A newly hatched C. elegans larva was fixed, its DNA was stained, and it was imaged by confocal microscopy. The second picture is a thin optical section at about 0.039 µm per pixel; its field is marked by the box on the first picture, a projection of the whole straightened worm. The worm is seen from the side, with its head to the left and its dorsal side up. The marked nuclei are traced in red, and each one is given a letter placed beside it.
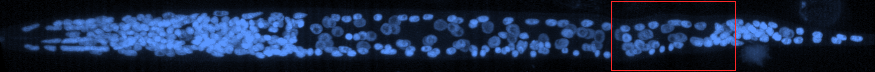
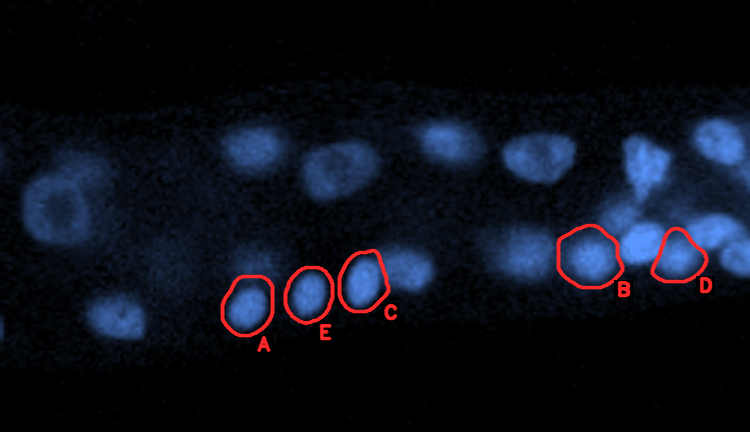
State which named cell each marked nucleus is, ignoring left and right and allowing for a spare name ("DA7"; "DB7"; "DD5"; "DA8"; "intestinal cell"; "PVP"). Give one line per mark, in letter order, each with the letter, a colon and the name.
A: DD5
B: PVP
C: DA7
D: DA8
E: DB7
